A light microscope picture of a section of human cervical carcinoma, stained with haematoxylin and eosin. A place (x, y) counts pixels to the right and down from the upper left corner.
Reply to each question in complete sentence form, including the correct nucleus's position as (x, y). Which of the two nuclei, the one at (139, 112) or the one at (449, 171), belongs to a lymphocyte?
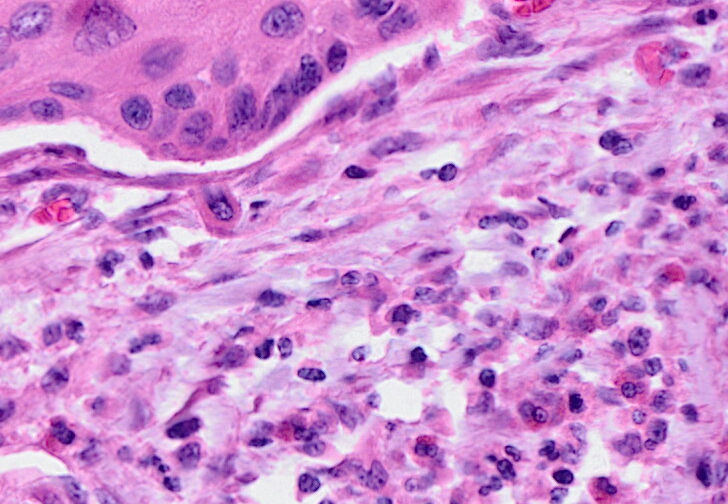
Of the two nuclei, the one sitting at (449, 171) belongs to a lymphocyte.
